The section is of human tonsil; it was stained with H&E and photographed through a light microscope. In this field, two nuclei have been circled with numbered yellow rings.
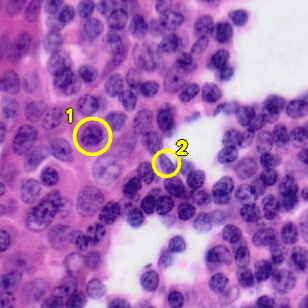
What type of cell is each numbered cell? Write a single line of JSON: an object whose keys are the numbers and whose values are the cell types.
{"1": "plasma cell", "2": "small lymphocyte"}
